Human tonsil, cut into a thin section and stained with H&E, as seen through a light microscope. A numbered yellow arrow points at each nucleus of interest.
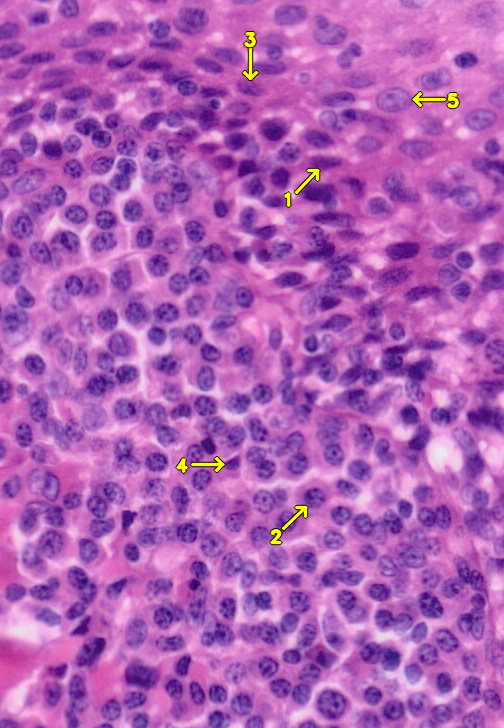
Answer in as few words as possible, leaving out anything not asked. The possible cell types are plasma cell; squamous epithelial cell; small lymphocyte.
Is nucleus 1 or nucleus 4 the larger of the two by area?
1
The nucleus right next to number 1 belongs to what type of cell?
squamous epithelial cell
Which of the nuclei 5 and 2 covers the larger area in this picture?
5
